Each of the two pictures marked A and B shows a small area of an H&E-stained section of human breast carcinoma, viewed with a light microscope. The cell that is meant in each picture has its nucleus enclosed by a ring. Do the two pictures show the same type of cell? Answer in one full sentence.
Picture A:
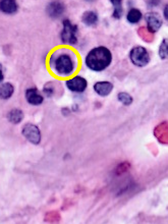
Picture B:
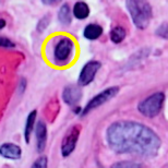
No. Picture A shows a lymphocyte, but picture B shows a mast cell.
